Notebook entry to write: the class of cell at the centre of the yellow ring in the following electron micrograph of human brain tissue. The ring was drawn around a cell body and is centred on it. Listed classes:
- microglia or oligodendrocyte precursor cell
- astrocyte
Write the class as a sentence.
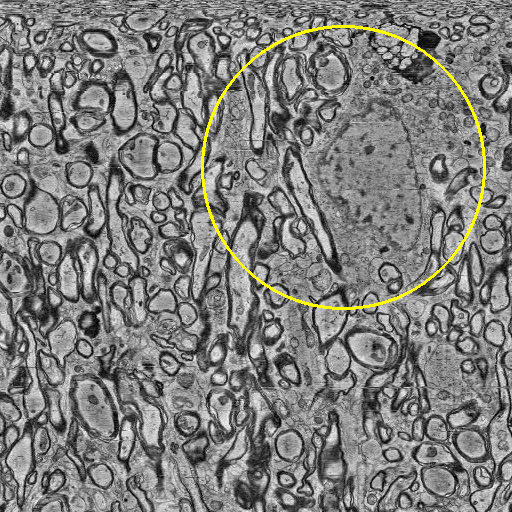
The yellow ring sits on an astrocyte.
